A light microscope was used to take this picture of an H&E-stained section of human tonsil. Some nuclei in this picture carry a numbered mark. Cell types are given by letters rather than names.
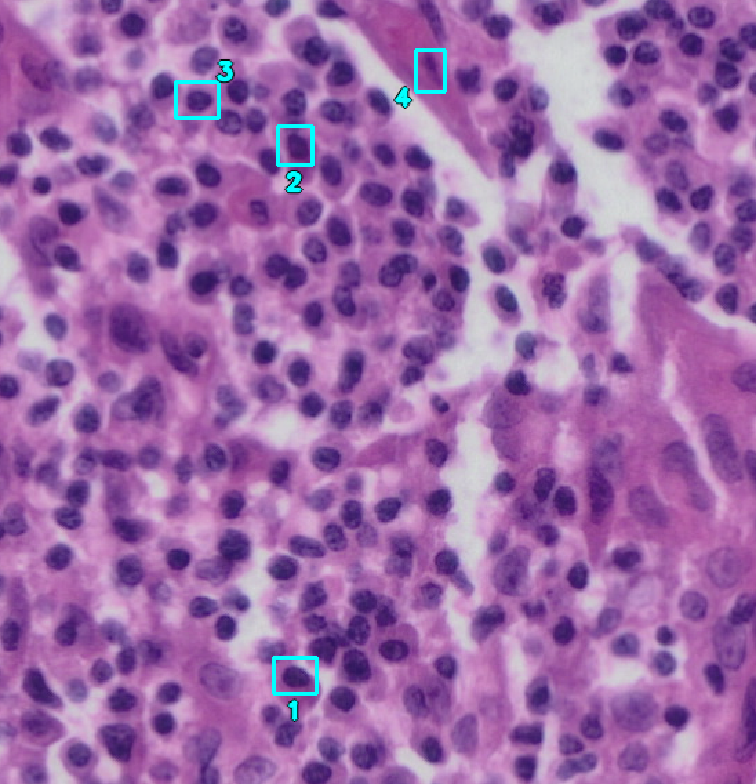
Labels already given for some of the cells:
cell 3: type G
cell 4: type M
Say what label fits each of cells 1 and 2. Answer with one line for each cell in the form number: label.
1: type G
2: type G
